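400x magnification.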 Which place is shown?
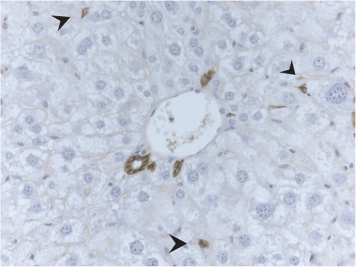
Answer: Portal area.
